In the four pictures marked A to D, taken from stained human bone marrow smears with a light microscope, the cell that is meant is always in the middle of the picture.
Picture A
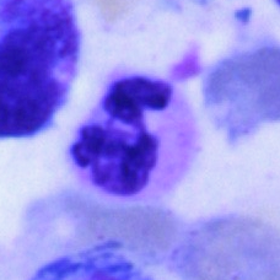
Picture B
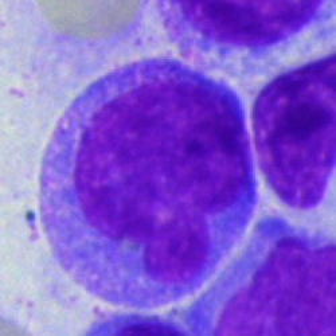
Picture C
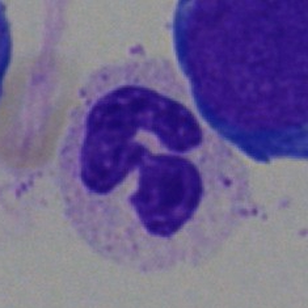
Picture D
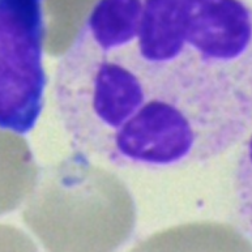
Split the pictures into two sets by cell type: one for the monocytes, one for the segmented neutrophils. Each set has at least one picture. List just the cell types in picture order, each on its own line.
segmented neutrophil
monocyte
segmented neutrophil
segmented neutrophil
